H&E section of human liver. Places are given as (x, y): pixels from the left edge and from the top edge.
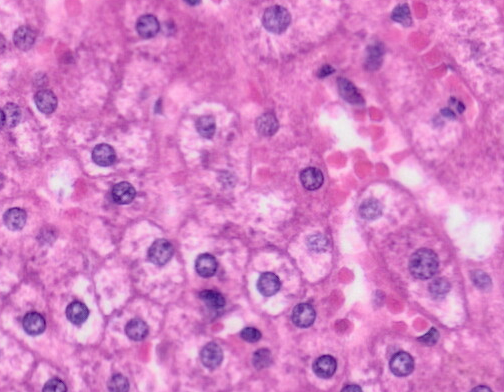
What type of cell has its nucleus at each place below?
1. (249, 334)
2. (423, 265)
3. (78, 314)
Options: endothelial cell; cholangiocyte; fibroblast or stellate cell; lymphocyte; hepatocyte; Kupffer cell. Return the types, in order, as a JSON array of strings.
["lymphocyte", "hepatocyte", "hepatocyte"]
